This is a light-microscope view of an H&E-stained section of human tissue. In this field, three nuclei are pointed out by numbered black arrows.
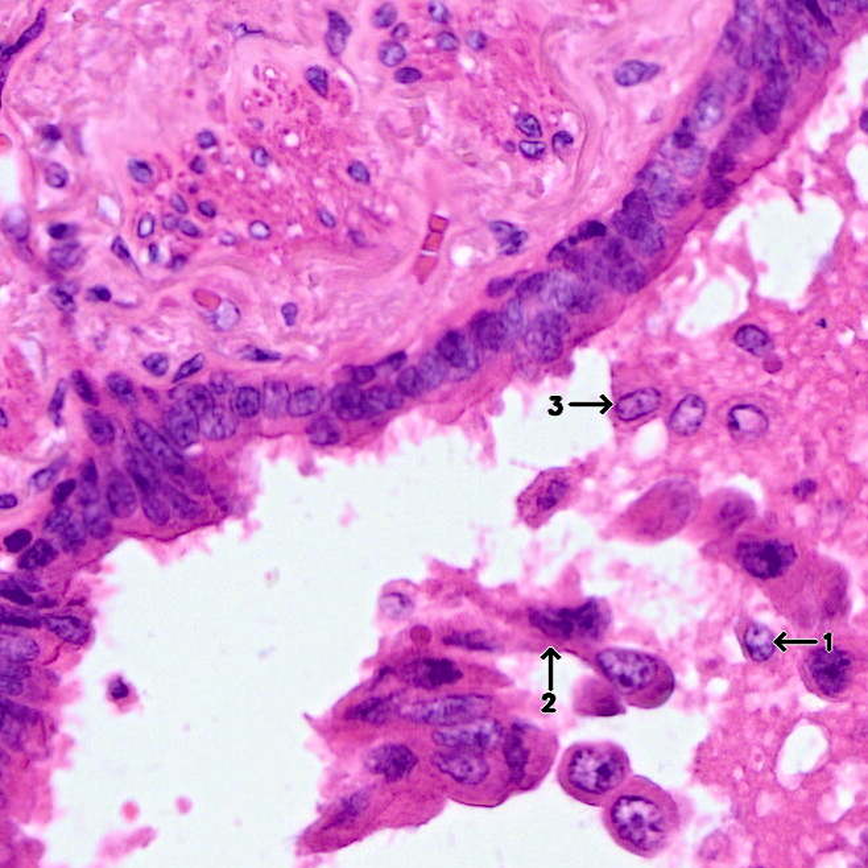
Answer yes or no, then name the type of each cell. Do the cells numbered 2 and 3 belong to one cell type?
No, cell 2 is a carcinoma cell and cell 3 is a macrophage or monocyte.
